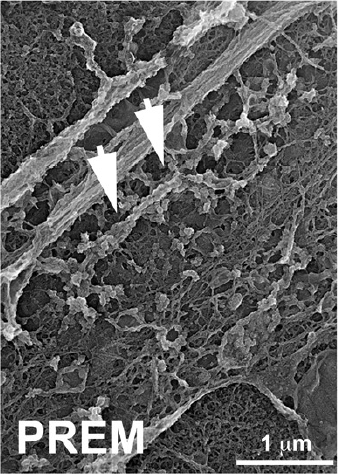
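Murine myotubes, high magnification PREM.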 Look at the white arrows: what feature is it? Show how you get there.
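The arrows point at a long narrow membrane tube. On this evidence: beaded tubes.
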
